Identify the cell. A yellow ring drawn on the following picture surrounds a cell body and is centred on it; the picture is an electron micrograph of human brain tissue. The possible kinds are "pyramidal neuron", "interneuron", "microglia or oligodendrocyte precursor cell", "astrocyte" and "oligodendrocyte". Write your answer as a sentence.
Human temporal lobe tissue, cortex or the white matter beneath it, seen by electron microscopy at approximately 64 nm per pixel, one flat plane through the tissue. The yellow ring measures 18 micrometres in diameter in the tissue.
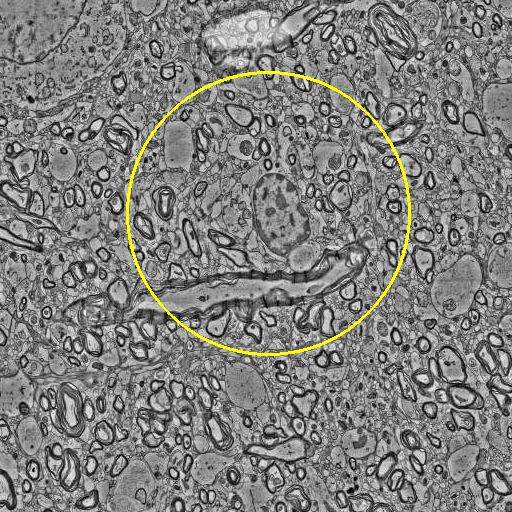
The cell identified by the ring is a microglial cell or oligodendrocyte precursor cell.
